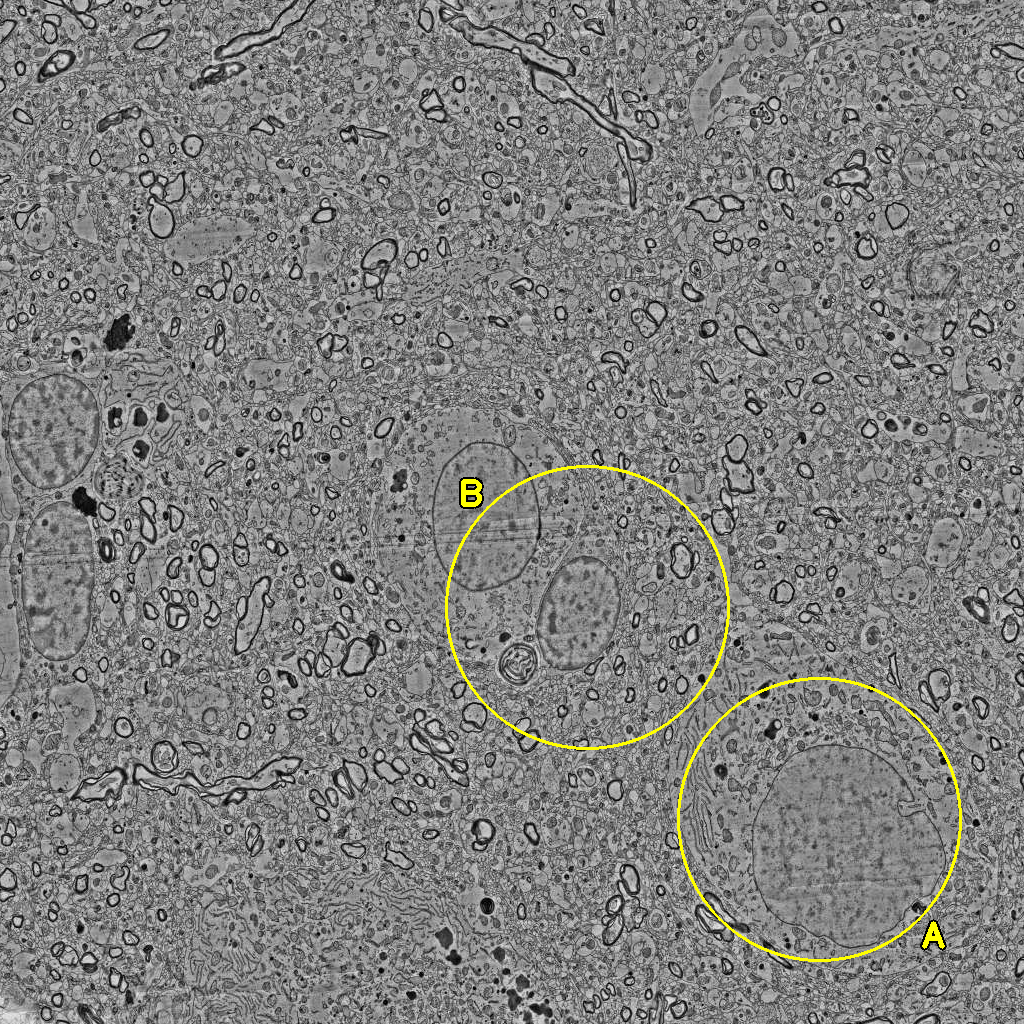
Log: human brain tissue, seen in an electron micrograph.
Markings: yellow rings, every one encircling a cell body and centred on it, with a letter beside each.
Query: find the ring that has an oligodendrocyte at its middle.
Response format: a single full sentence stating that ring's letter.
The letter B marks the ring centred on the cell asked for in the image.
